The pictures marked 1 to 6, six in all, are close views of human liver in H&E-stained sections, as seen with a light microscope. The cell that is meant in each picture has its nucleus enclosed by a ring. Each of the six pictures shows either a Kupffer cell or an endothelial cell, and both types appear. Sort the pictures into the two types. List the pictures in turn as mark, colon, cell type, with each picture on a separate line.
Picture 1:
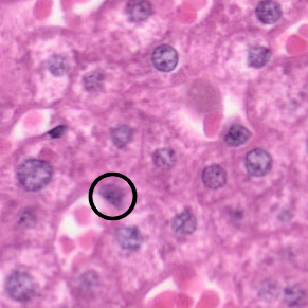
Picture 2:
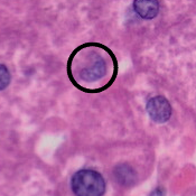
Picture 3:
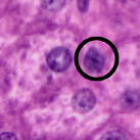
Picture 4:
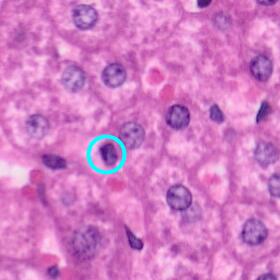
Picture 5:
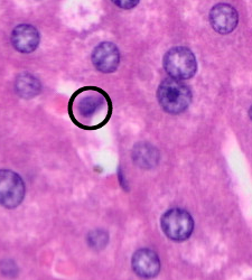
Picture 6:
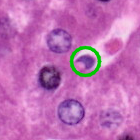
1: endothelial cell
2: Kupffer cell
3: endothelial cell
4: Kupffer cell
5: Kupffer cell
6: Kupffer cell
